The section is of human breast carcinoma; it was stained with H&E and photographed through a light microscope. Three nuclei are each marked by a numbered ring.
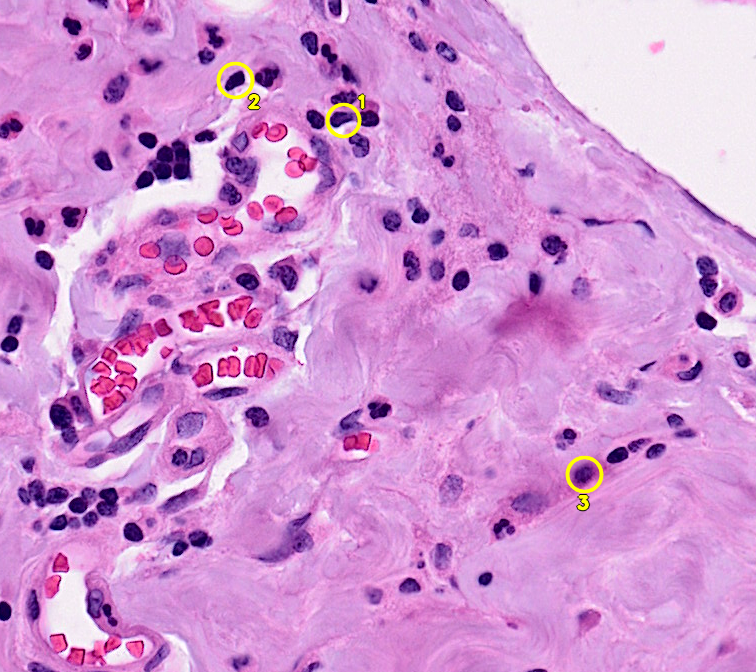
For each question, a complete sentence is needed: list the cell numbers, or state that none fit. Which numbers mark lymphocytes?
The cells given the numbers 1 and 2 are lymphocytes.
